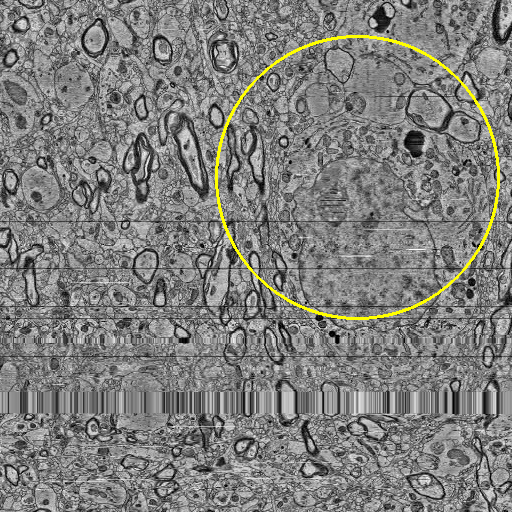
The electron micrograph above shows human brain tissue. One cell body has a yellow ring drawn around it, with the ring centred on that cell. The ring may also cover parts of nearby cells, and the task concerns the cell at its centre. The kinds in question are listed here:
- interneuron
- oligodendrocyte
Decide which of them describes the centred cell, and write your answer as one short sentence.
The centred cell is an interneuron.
